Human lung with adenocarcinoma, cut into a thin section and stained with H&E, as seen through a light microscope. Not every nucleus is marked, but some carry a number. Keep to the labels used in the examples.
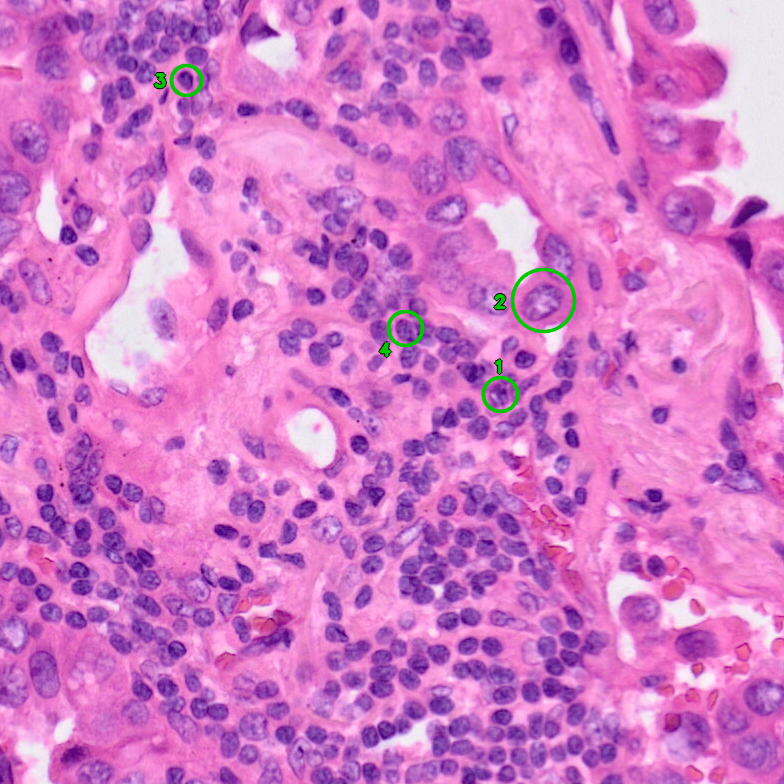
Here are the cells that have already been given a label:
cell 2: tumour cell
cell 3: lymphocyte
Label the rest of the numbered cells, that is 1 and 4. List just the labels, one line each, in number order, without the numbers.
lymphocyte
lymphocyte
